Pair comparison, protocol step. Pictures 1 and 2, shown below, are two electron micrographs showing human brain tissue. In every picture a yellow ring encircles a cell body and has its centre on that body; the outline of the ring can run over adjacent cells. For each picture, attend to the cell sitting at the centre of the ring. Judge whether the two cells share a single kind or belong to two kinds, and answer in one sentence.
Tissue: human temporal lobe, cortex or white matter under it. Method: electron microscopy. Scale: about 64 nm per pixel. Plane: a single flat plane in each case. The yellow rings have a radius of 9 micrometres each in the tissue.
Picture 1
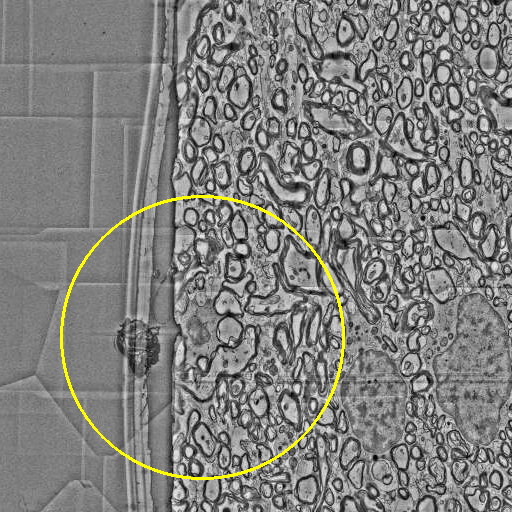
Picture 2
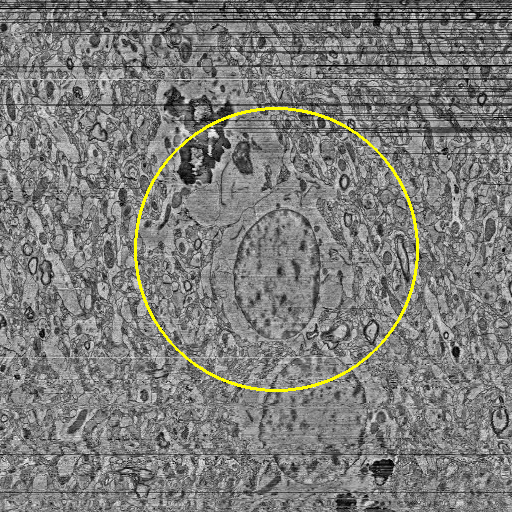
The two cells at the ring centres in Picture 1 and Picture 2 belong to two kinds.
